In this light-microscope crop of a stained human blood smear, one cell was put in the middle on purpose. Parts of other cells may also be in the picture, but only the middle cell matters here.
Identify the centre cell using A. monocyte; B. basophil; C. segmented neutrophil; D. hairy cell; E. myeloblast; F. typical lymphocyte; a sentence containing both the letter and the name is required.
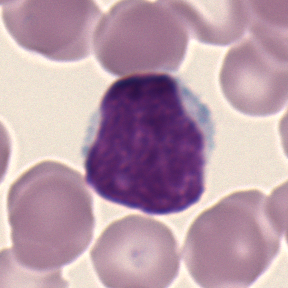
Option F is right, the centrally situated cell being a typical lymphocyte.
